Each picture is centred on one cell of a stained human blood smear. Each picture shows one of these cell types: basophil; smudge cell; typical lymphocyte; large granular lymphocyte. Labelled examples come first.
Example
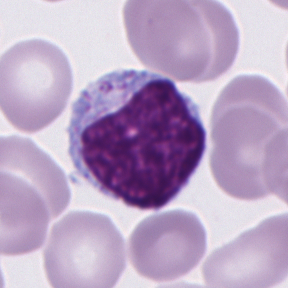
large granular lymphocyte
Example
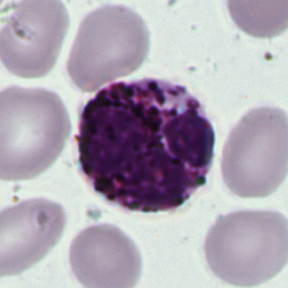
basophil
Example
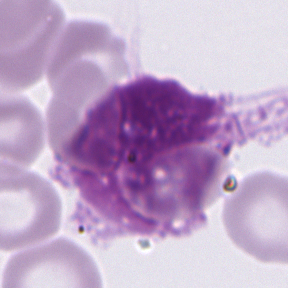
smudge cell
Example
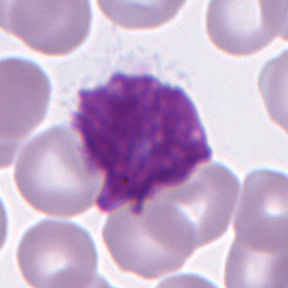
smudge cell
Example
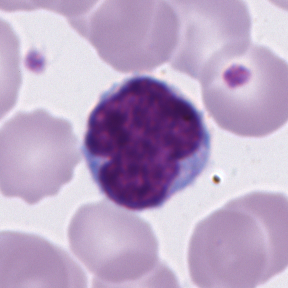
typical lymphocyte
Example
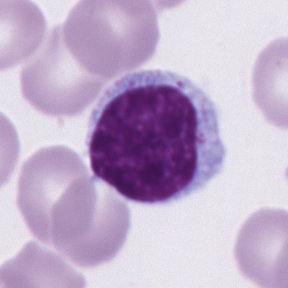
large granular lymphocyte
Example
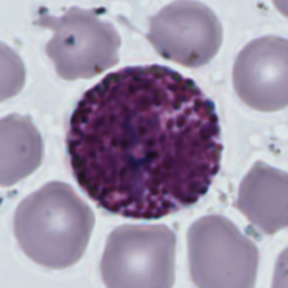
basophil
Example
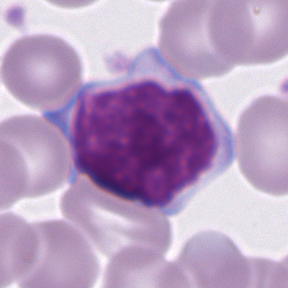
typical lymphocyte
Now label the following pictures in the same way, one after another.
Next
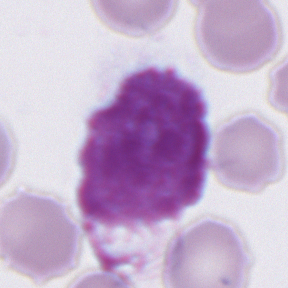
smudge cell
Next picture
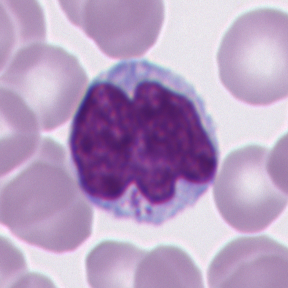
large granular lymphocyte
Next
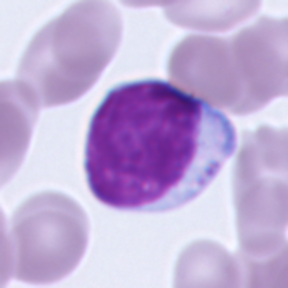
large granular lymphocyte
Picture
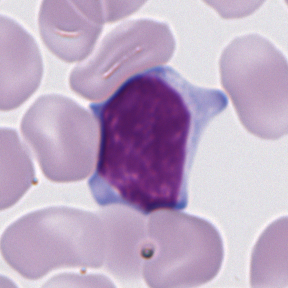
typical lymphocyte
